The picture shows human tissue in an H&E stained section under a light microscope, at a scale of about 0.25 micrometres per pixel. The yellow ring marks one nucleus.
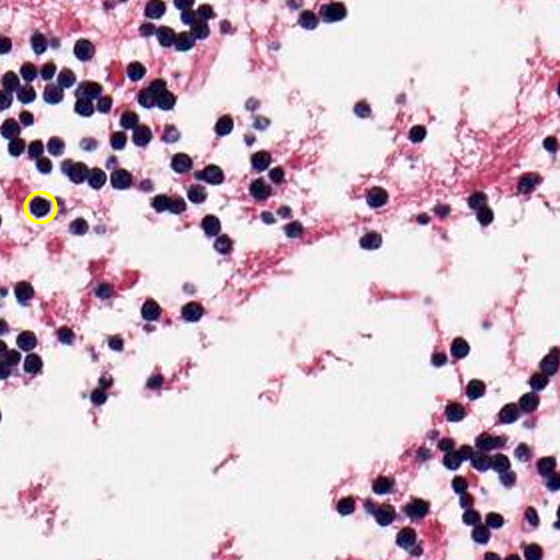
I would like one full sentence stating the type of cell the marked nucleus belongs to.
What is marked is the nucleus of a cerebellar granule cell.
